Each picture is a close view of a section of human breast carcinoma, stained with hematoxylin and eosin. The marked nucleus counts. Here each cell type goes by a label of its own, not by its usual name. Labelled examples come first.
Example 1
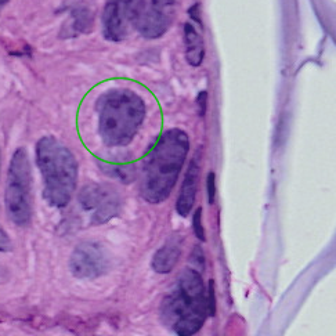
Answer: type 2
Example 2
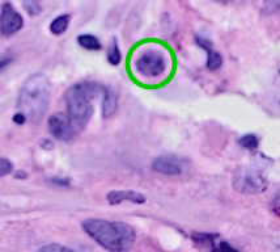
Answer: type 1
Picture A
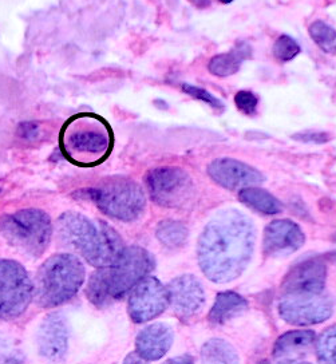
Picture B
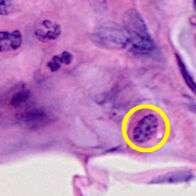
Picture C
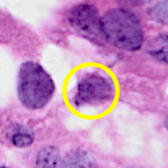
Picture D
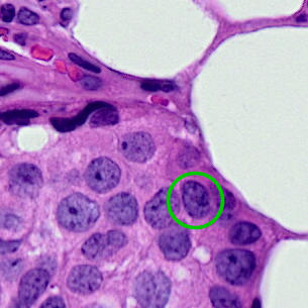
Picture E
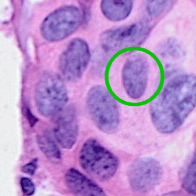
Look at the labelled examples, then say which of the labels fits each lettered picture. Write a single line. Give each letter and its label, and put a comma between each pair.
A type 1, B type 1, C type 2, D type 2, E type 2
